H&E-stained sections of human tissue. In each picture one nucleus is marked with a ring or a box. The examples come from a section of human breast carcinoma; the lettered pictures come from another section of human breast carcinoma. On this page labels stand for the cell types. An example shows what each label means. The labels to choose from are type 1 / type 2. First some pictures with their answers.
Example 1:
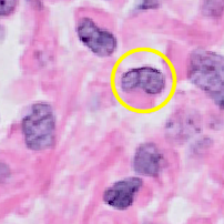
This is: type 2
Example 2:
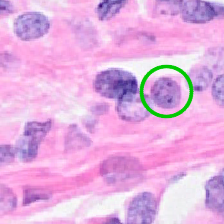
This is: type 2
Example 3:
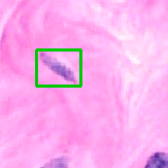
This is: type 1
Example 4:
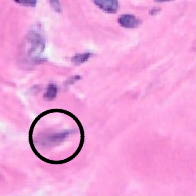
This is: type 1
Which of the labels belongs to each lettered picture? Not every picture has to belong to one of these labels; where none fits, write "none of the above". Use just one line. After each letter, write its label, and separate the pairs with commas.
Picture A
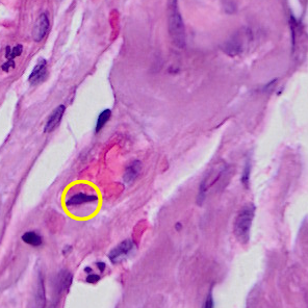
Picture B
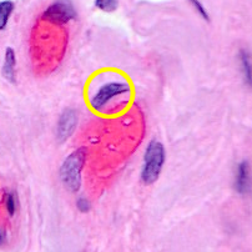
A none of the above, B none of the above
